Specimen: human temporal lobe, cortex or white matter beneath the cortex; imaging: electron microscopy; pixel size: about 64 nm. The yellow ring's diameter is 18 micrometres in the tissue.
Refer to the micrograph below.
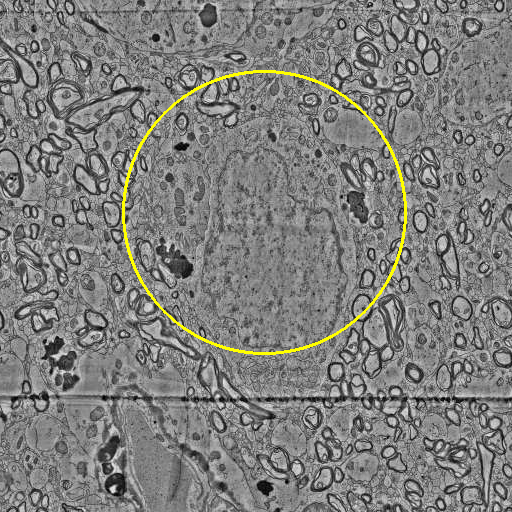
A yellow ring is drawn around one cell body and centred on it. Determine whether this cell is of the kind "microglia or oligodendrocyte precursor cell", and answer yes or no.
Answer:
no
